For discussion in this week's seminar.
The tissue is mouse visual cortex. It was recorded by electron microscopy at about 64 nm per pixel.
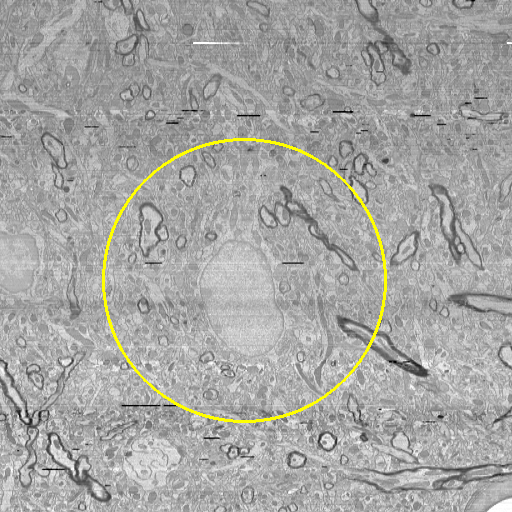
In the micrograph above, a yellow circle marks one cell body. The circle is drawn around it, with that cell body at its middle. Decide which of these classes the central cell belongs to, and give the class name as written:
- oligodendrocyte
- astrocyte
astrocyte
